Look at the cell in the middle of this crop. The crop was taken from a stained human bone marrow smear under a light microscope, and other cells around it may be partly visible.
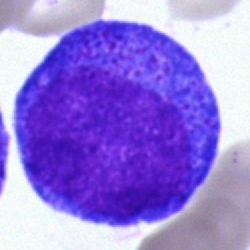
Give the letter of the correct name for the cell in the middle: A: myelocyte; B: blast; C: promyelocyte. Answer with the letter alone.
C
